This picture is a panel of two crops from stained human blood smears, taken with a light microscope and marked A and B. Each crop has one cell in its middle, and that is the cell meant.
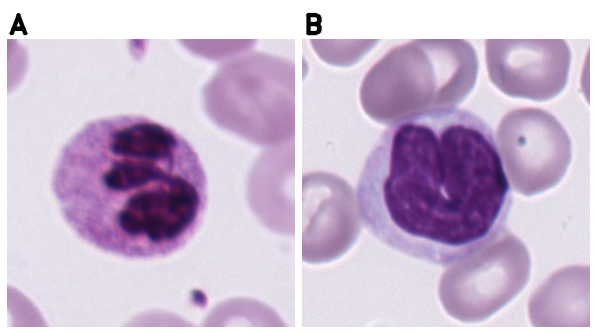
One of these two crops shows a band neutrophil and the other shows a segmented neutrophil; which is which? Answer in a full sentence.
Crop A presents a segmented neutrophil, and crop B presents a band neutrophil.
